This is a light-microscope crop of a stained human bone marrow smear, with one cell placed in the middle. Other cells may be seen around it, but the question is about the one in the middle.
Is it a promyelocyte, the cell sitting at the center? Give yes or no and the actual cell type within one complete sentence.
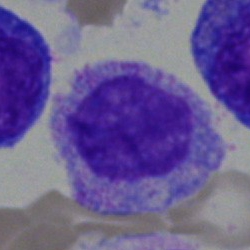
No, what occupies the middle of the crop is a myelocyte and not a promyelocyte.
